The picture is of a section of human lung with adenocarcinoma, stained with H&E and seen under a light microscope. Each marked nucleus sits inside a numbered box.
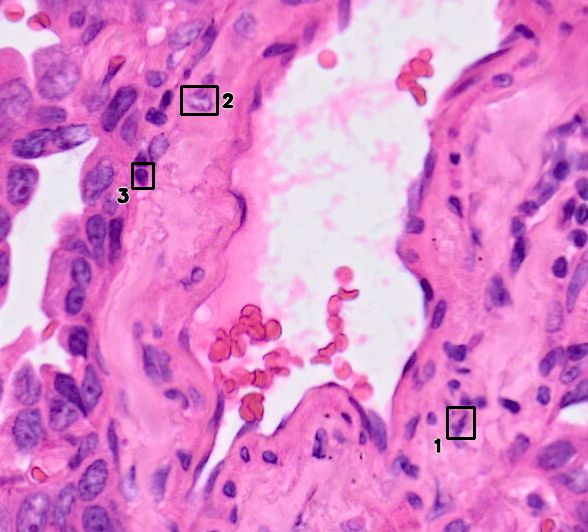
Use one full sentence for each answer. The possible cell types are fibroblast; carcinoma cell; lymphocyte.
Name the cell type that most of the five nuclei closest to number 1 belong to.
Lymphocytes make up most of the five nuclei closest to number 1.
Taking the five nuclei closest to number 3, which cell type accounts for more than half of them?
Most of the five nuclei nearest to number 3 are those of carcinoma cells.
